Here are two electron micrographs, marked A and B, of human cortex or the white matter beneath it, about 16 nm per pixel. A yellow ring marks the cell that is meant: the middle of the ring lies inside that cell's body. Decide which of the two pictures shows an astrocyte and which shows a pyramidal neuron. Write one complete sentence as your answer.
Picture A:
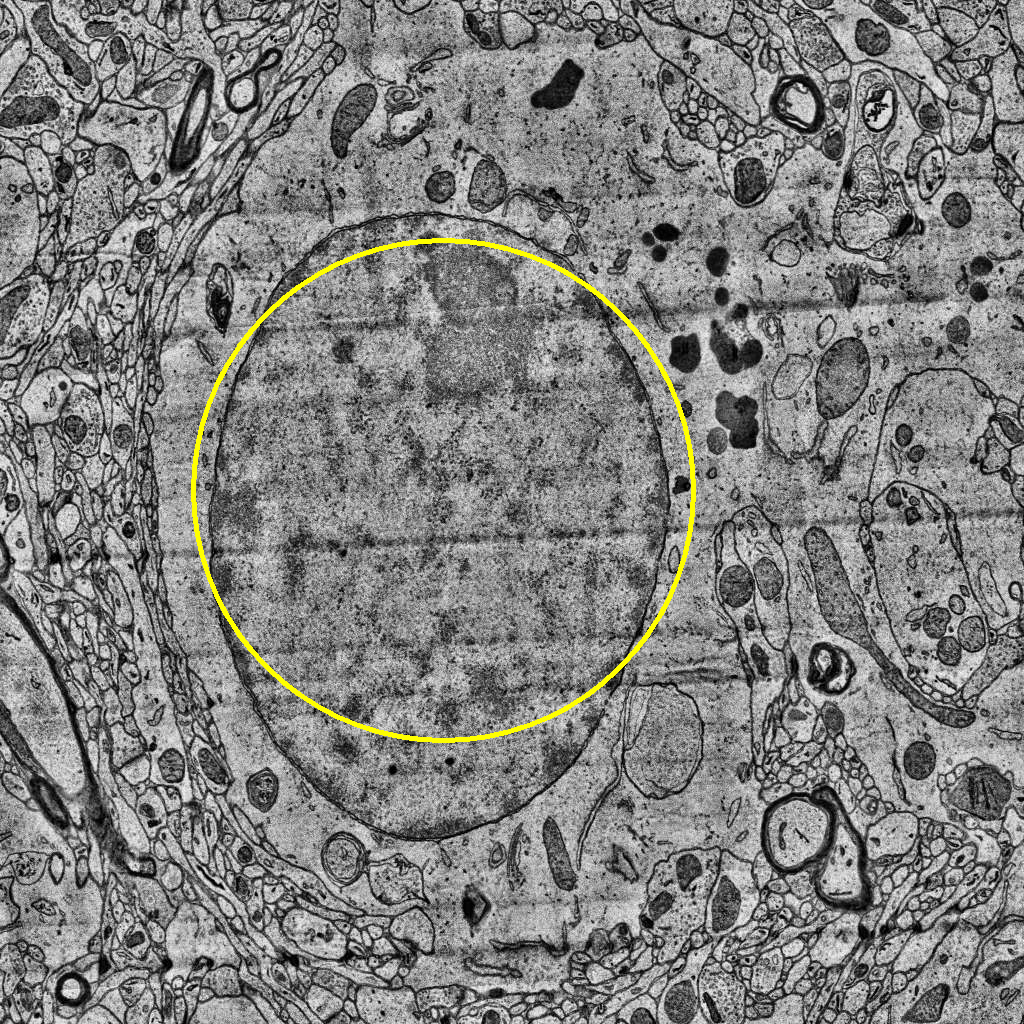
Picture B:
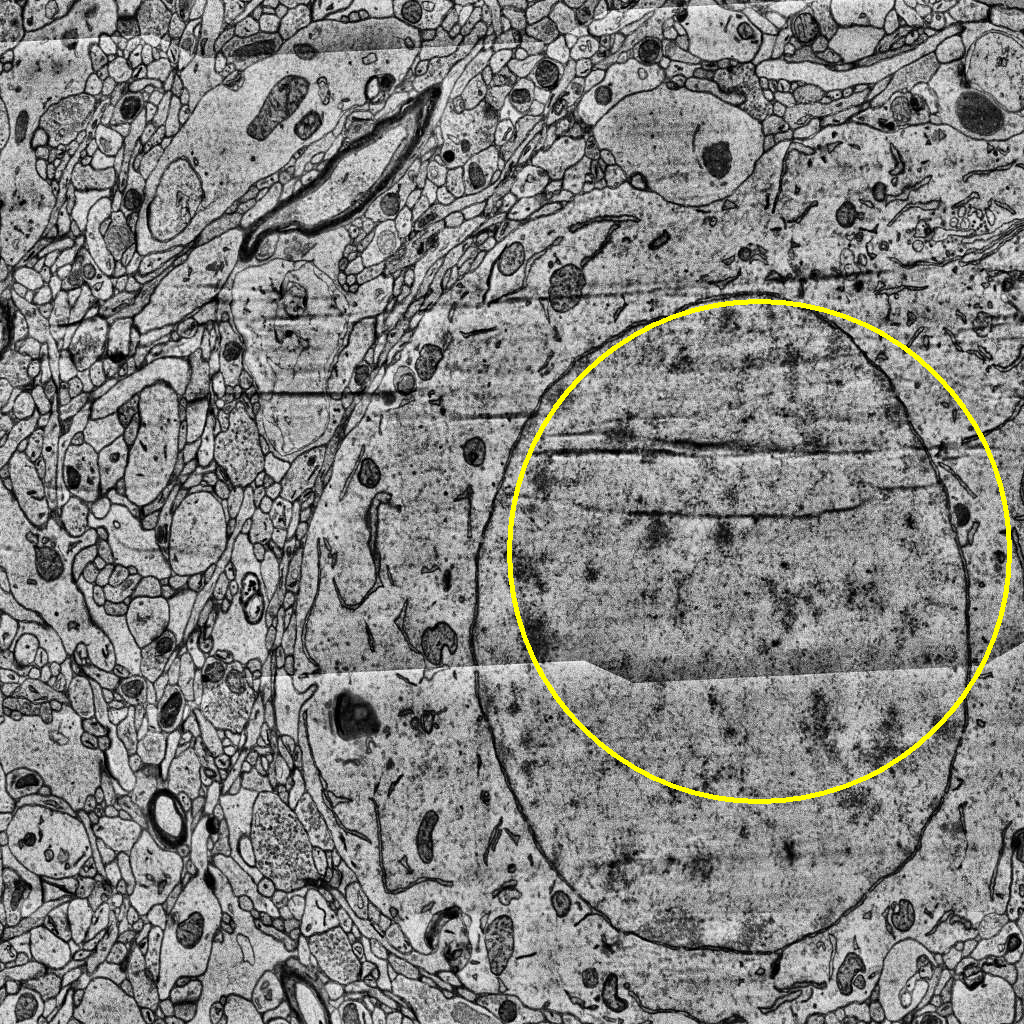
Picture A shows an astrocyte and picture B shows a pyramidal neuron.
